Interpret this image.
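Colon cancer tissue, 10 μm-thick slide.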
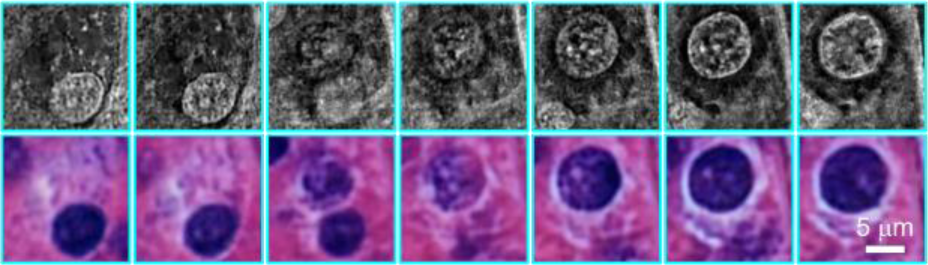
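In the lower row the nuclei are round, dark purple and lie within pink cytoplasm, while in the upper row the same nuclei appear as bright, finely granular round bodies. Through the series one nucleus fades from the lower part of the field as another comes into focus in the centre, its round outline and inner chromatin granules growing sharper.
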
